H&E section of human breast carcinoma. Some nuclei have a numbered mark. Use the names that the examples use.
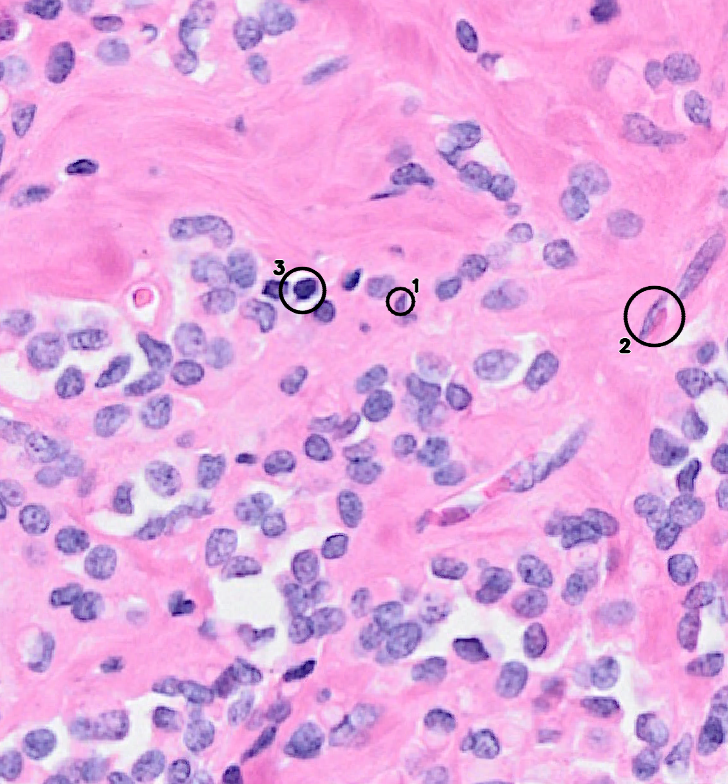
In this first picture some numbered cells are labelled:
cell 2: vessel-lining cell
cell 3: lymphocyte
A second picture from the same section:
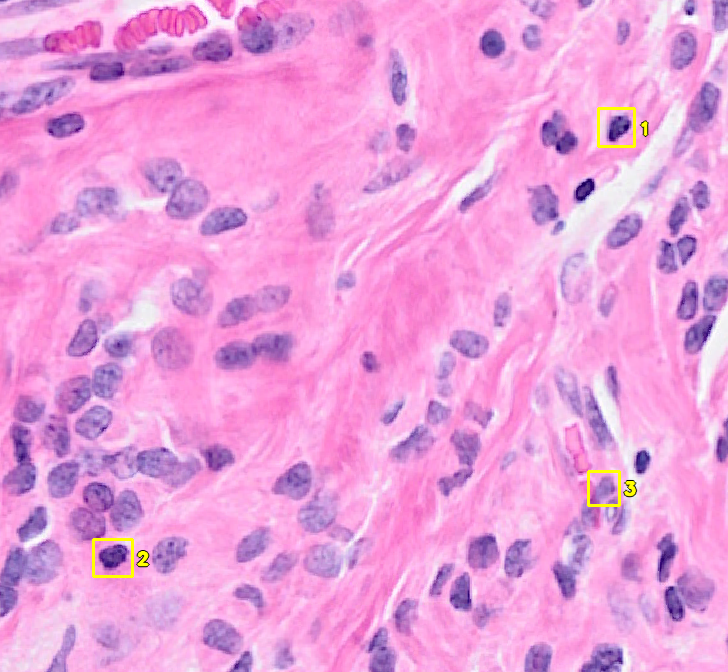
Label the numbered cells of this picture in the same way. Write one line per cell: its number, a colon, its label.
1: lymphocyte
2: lymphocyte
3: vessel-lining cell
